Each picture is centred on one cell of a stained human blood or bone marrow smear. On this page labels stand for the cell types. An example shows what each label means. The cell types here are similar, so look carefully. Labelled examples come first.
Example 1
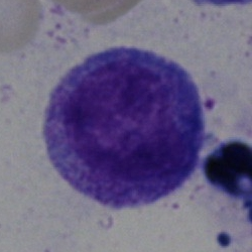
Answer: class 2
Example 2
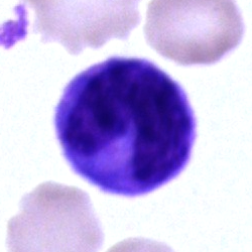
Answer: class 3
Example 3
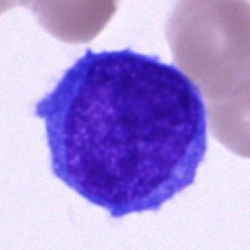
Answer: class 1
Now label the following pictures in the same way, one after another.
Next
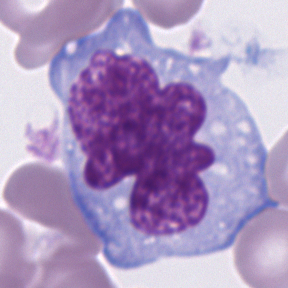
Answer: class 3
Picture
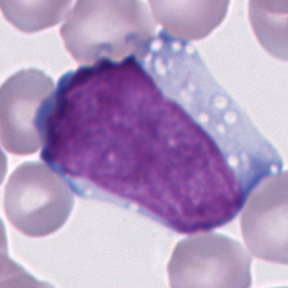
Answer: class 1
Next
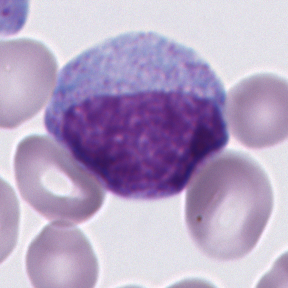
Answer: class 2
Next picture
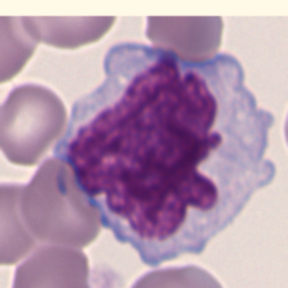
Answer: class 3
